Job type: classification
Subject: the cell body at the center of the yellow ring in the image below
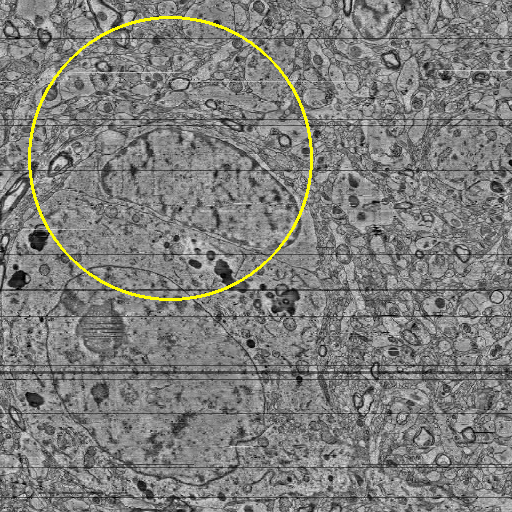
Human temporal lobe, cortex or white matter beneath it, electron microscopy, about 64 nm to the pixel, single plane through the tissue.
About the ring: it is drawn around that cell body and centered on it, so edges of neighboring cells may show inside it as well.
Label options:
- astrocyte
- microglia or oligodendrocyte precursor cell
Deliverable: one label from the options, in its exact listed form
microglia or oligodendrocyte precursor cell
